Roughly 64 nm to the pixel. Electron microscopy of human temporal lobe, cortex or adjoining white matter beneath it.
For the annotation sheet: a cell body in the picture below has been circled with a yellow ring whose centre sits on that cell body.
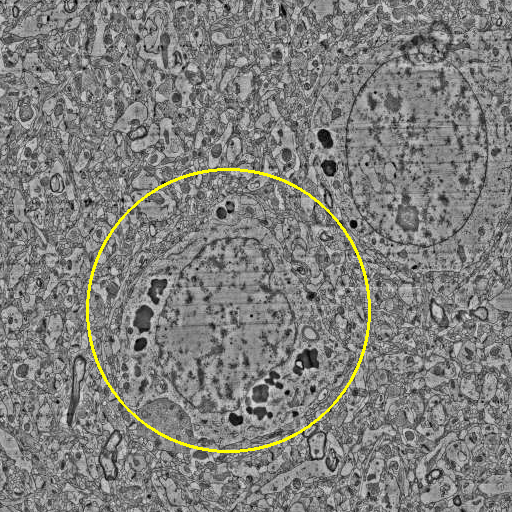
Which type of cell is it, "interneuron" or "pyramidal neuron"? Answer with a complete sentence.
The circled cell is an interneuron.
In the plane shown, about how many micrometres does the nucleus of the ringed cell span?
In this plane, roughly 11 by 9 micrometres.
